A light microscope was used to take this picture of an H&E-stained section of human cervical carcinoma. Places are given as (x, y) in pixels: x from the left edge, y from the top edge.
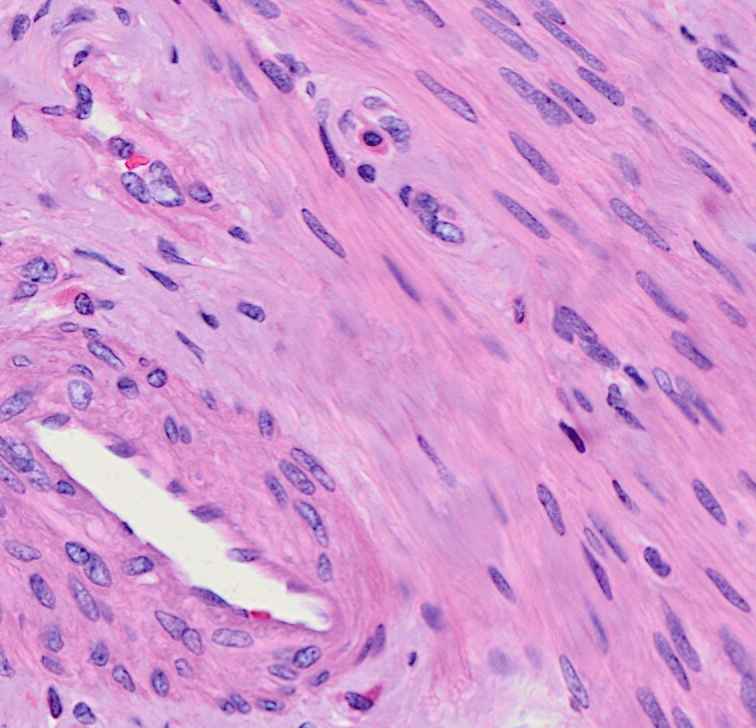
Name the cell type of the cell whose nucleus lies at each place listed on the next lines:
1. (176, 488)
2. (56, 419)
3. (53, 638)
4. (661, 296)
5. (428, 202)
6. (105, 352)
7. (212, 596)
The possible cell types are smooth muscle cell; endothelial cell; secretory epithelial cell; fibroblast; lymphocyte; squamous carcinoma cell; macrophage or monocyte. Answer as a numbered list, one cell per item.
1. endothelial cell
2. endothelial cell
3. smooth muscle cell
4. smooth muscle cell
5. endothelial cell
6. smooth muscle cell
7. endothelial cell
